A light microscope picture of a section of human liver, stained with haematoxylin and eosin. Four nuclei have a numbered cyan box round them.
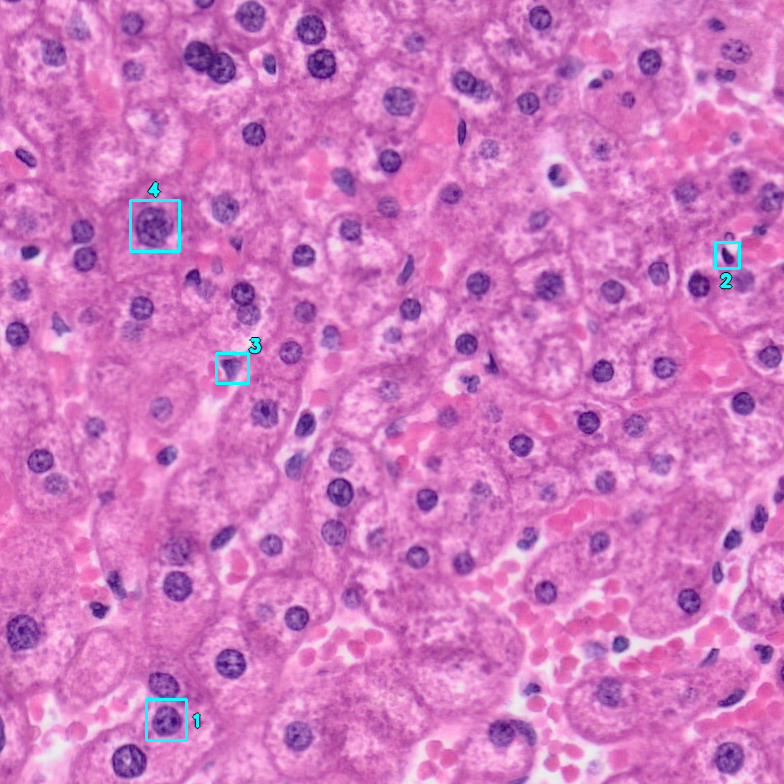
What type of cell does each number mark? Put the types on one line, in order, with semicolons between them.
hepatocyte; fibroblast or stellate cell; endothelial cell; hepatocyte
